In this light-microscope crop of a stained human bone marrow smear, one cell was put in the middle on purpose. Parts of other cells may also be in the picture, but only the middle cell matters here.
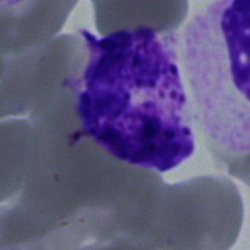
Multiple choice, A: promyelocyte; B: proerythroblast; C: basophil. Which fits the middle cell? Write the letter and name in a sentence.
Option C is right, the centrally situated cell being a basophil.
